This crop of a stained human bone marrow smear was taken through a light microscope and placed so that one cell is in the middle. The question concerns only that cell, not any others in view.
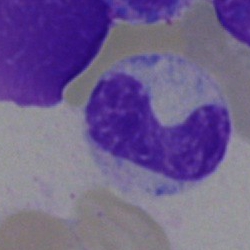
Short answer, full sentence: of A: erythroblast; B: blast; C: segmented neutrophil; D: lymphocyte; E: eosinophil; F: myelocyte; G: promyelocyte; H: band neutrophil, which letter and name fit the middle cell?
The cell right in the middle is a band neutrophil, so option H is the one.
